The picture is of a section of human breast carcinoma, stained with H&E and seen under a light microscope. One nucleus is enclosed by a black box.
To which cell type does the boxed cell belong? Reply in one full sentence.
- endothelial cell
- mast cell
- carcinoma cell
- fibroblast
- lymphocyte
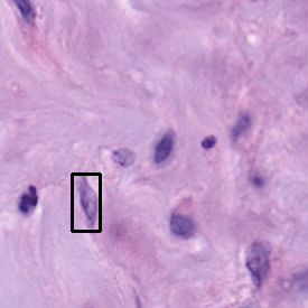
The boxed cell is a fibroblast.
